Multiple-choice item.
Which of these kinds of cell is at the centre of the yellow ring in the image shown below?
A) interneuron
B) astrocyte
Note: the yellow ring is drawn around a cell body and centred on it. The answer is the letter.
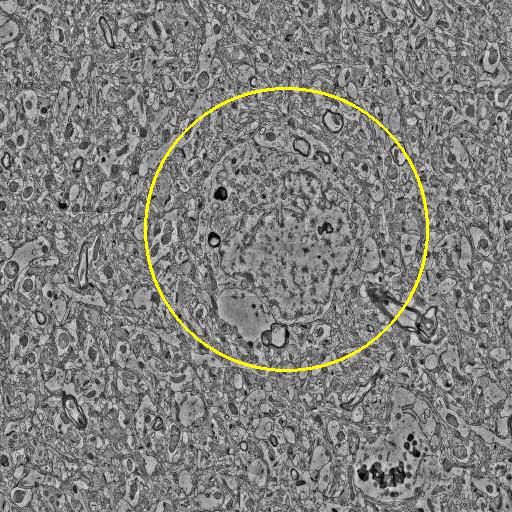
A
